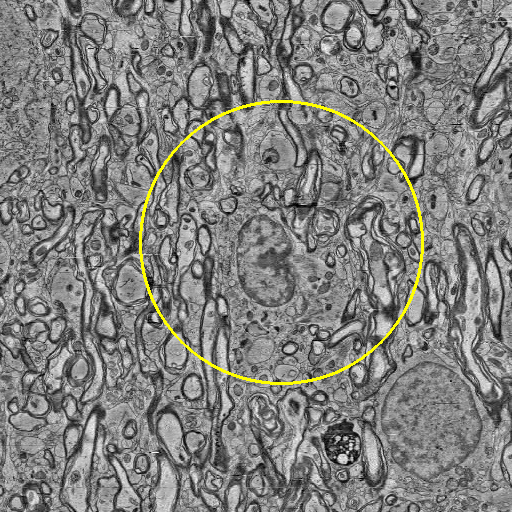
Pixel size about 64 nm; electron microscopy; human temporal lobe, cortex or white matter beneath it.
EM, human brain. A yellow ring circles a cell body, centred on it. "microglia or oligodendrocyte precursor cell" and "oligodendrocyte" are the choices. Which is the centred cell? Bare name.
microglia or oligodendrocyte precursor cell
